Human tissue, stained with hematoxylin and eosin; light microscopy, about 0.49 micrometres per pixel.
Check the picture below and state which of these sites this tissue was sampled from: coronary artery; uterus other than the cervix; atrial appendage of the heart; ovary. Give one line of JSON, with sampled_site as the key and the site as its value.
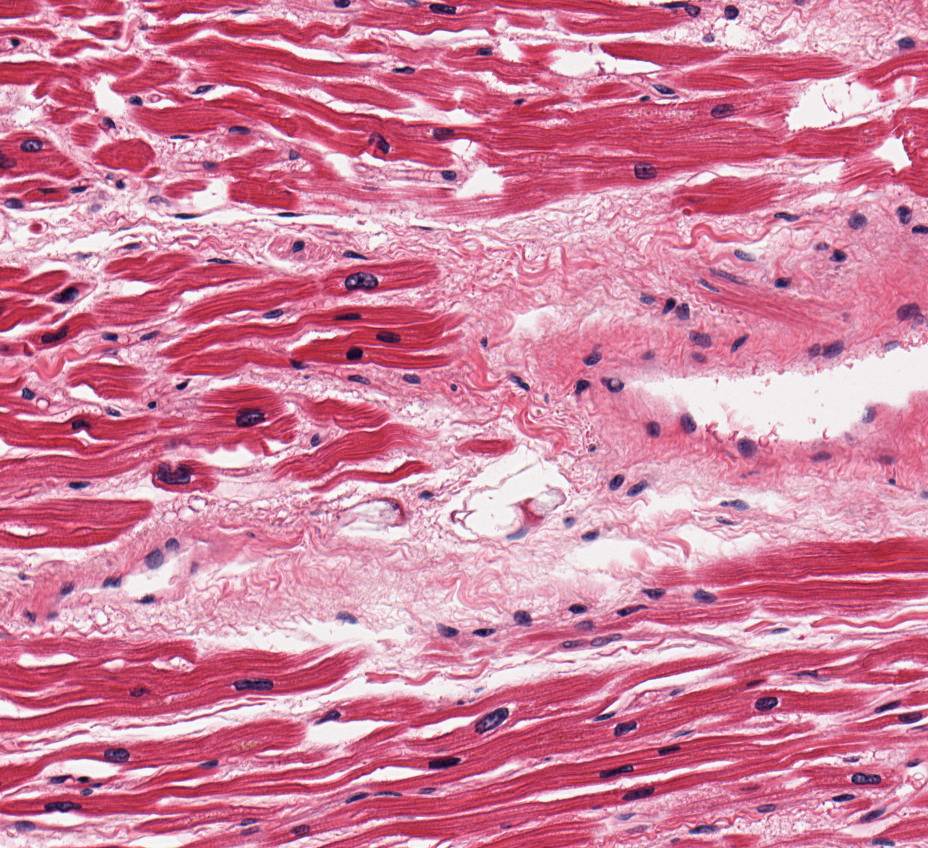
{"sampled_site": "atrial appendage of the heart"}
